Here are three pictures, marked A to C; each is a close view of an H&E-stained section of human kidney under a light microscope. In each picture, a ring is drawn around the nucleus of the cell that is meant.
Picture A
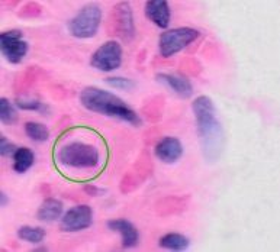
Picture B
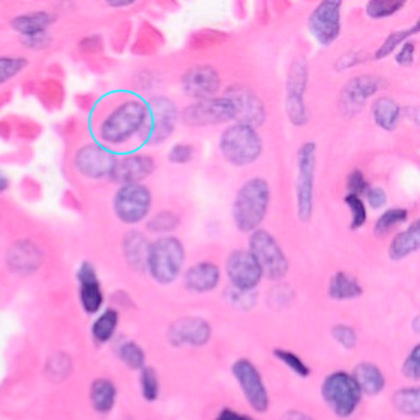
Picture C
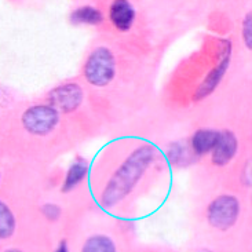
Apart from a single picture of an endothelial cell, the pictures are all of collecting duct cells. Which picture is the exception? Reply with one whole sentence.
Picture A is the one that shows the endothelial cell.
